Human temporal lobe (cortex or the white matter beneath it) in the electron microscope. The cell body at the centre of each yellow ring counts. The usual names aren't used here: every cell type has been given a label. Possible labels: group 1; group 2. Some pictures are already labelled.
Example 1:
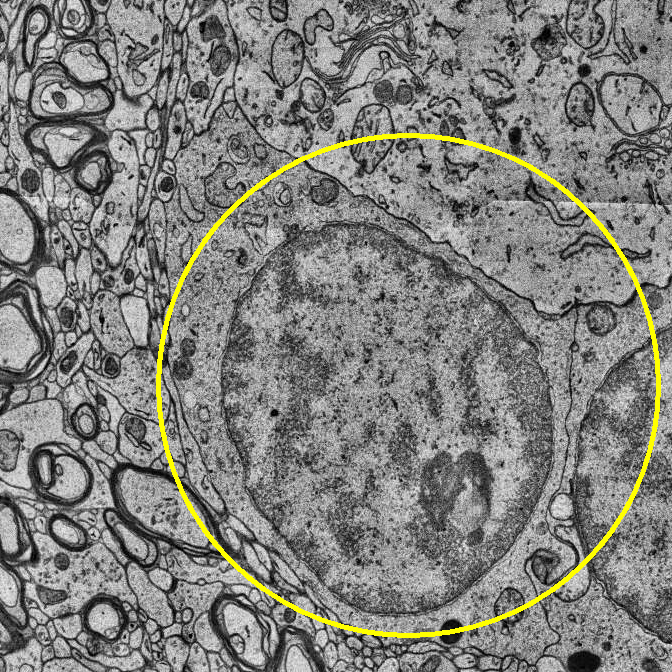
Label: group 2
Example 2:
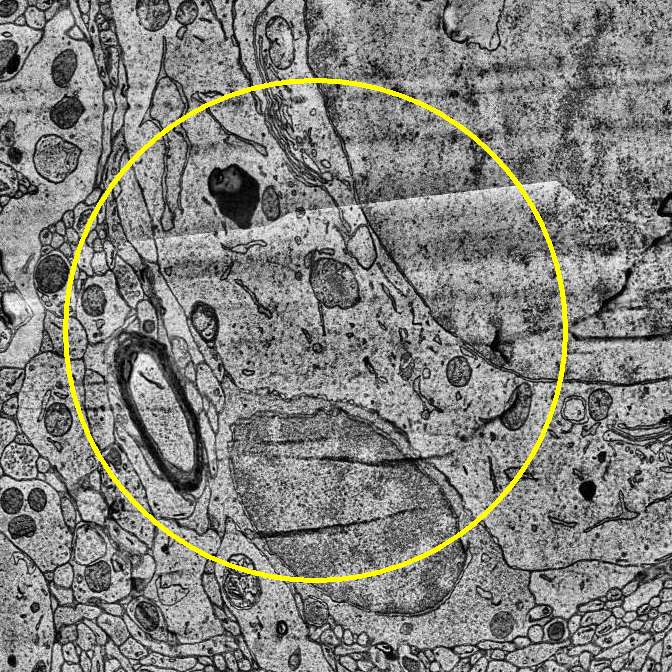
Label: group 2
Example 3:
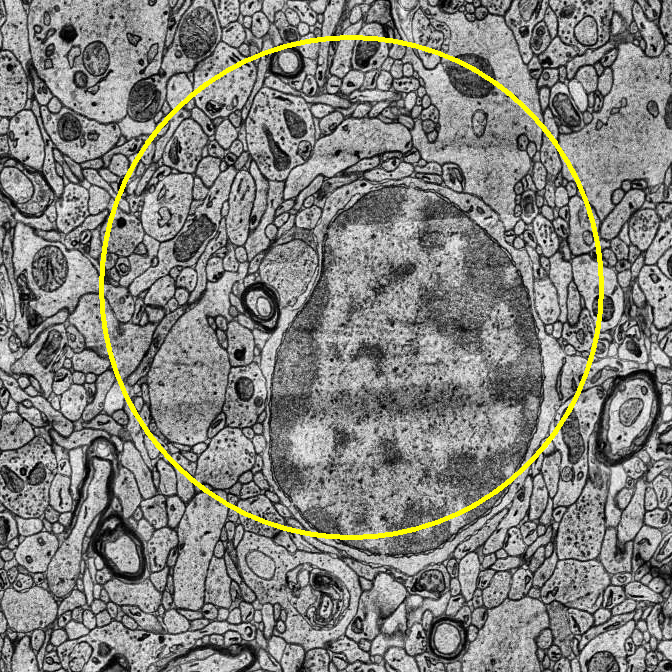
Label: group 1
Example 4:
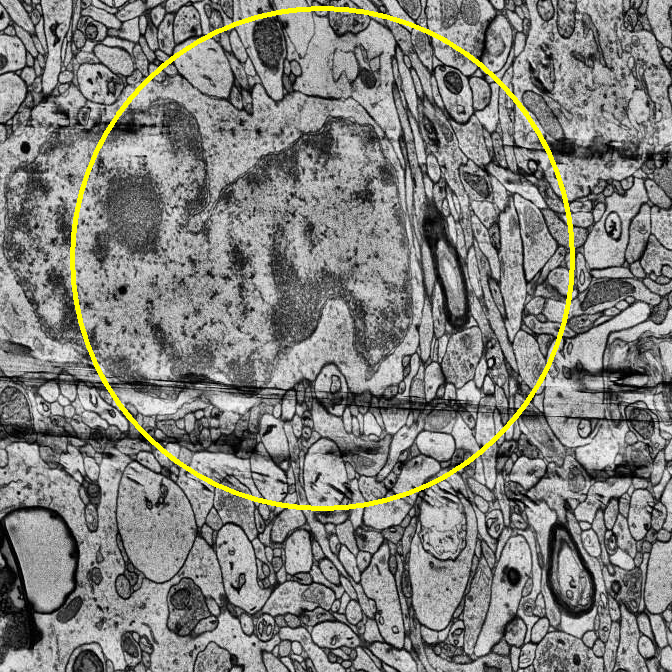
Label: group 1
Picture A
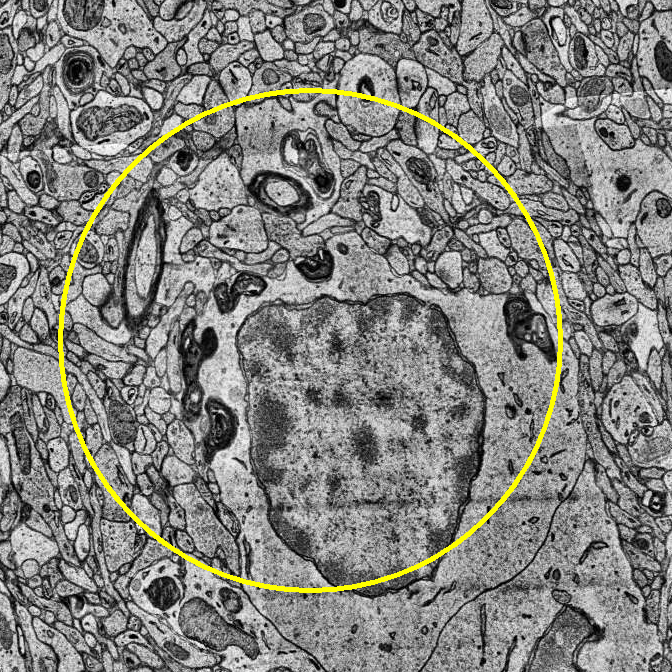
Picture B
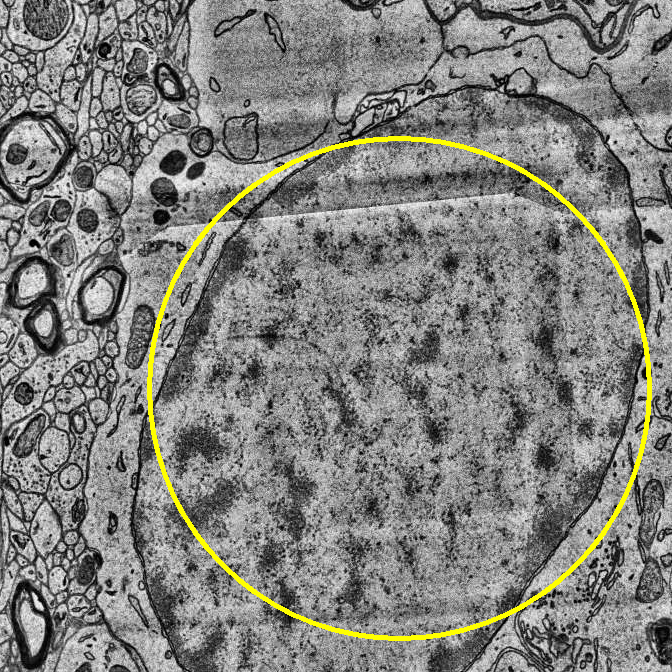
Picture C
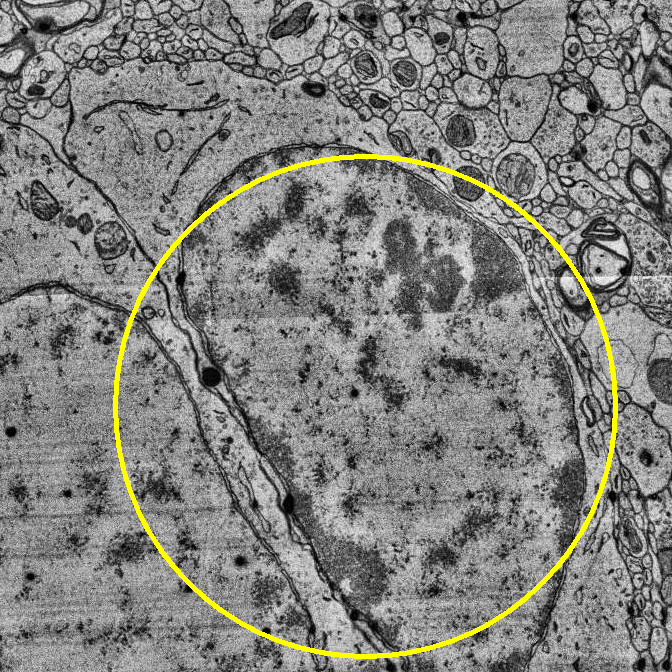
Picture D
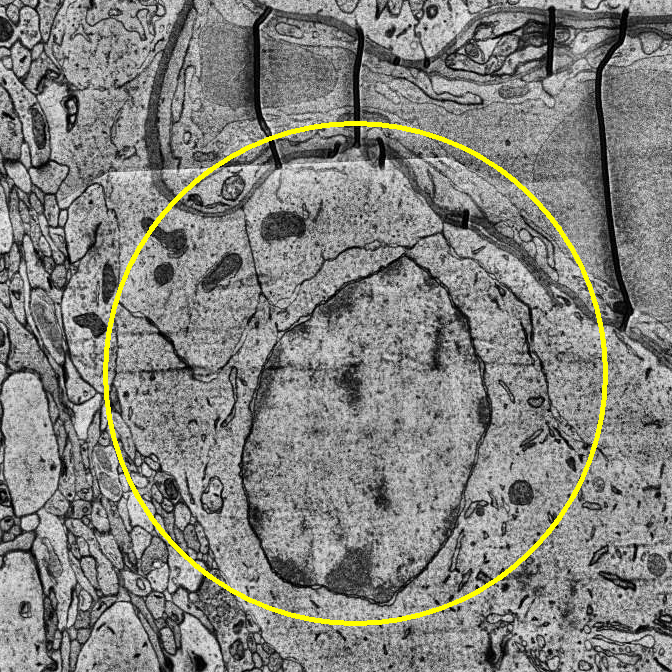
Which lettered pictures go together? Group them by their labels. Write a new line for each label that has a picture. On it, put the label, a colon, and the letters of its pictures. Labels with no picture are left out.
group 1: A, B, C, D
